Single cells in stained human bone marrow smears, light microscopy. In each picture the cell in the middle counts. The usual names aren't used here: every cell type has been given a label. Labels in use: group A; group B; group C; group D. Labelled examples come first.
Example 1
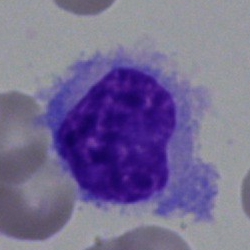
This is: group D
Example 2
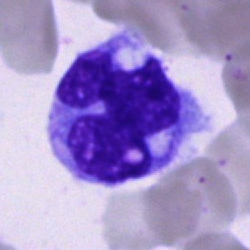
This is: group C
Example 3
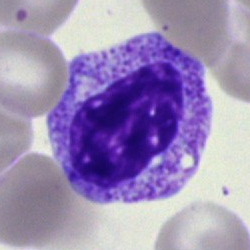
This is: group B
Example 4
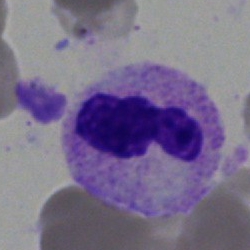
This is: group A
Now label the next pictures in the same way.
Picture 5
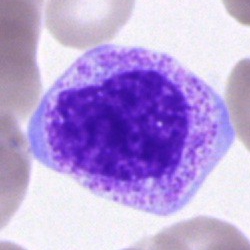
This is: group B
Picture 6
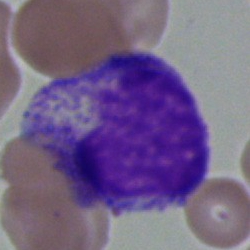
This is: group B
